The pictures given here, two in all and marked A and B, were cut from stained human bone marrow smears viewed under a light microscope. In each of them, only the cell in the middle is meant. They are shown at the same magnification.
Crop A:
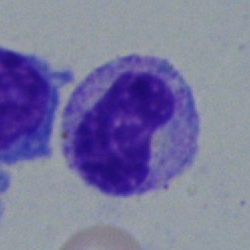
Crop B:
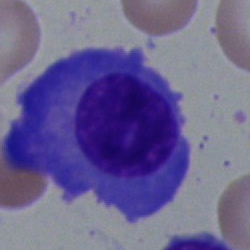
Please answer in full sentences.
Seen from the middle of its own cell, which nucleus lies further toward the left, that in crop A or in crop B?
In crop A the nucleus is shifted more toward the left.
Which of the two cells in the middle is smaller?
It is the cell in crop A; the cell in crop B has about 1.5 times its area.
